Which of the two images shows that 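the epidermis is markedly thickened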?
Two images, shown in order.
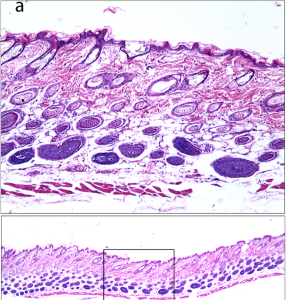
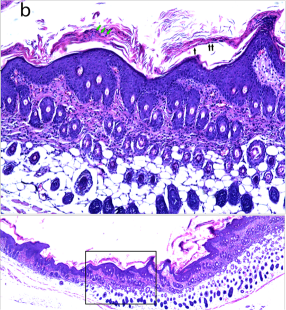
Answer: the second image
